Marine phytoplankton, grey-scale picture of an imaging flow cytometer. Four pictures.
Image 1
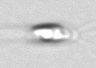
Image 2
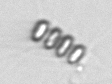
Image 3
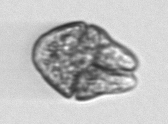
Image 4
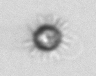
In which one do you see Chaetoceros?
In picture 2.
